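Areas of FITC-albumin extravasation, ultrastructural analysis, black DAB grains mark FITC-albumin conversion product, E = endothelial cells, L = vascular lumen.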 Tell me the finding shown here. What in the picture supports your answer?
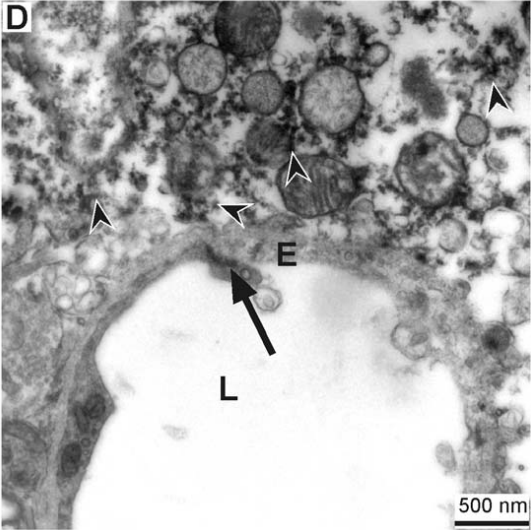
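The tissue beside the vessel is pale and loosened with empty-looking spaces. Rounded, swollen membrane-bound profiles and fragmented material are scattered in it. The answer: cellular edema and cellular debris.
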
